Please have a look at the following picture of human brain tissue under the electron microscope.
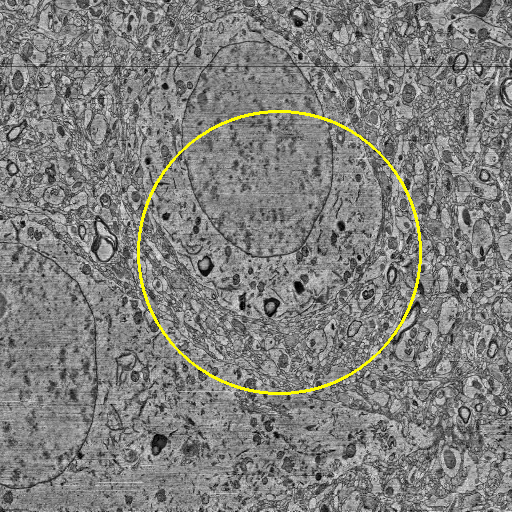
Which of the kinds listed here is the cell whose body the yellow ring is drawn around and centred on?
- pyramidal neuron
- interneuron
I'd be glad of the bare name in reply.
pyramidal neuron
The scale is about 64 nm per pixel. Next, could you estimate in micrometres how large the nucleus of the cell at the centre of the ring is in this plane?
In this plane, the nucleus is roughly 14 by 10 micrometres.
